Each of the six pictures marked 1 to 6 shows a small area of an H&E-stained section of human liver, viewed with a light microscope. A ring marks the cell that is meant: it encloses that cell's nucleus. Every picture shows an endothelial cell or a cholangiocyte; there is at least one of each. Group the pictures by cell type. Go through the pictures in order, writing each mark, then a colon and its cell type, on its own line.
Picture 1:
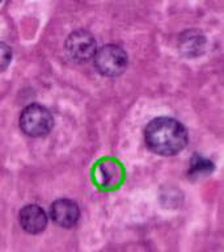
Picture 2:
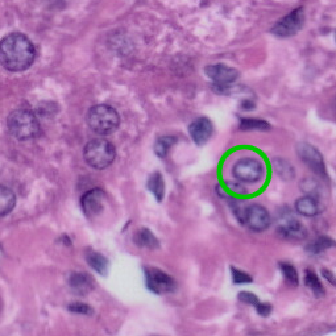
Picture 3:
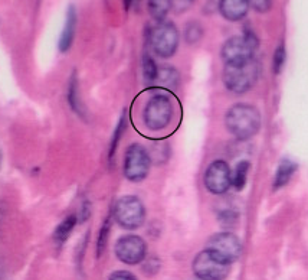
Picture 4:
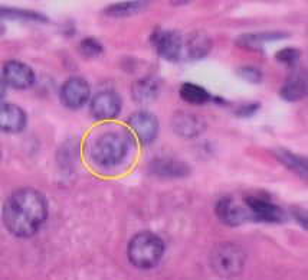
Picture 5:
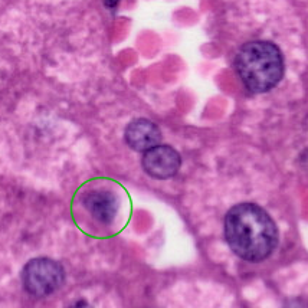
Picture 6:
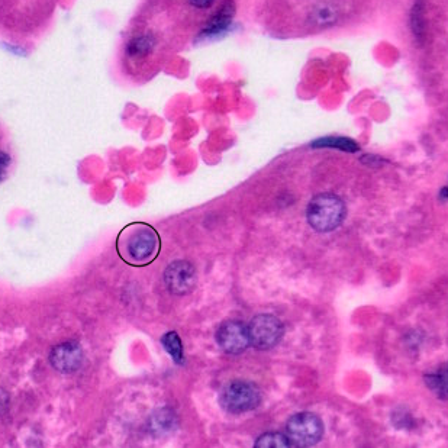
1: endothelial cell
2: cholangiocyte
3: cholangiocyte
4: cholangiocyte
5: endothelial cell
6: cholangiocyte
